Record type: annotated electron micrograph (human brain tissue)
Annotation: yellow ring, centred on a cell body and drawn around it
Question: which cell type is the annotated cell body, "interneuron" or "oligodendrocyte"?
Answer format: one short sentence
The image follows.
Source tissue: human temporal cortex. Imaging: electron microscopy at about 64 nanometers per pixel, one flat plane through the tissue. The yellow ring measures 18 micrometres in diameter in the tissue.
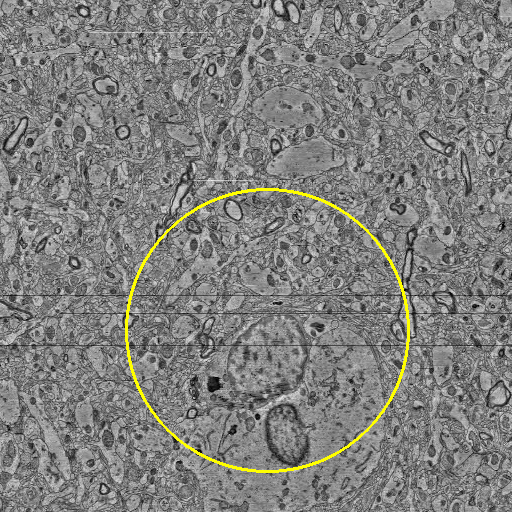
The annotated cell body is that of an oligodendrocyte.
